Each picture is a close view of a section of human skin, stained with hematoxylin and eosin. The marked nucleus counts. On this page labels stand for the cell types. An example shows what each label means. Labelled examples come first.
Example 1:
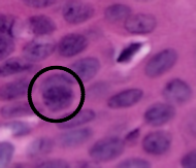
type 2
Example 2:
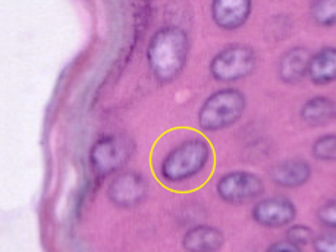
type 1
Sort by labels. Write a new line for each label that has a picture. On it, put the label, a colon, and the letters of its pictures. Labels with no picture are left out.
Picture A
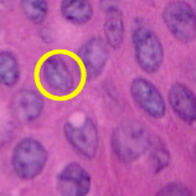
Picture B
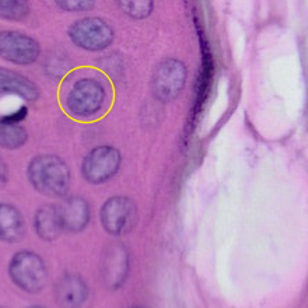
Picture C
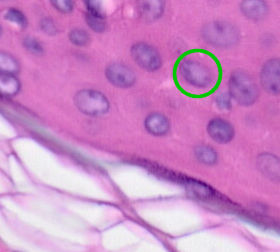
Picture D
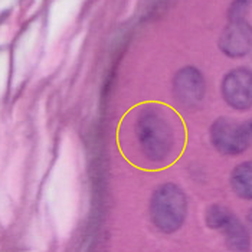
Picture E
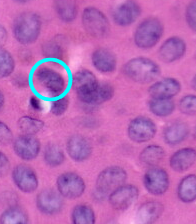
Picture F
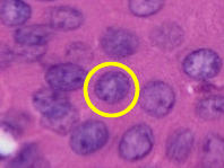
type 2: E
type 1: A, B, C, D, F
